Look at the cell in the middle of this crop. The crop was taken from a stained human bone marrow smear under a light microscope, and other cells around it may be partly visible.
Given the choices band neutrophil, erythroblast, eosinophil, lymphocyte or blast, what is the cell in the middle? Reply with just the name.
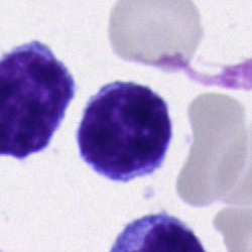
lymphocyte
